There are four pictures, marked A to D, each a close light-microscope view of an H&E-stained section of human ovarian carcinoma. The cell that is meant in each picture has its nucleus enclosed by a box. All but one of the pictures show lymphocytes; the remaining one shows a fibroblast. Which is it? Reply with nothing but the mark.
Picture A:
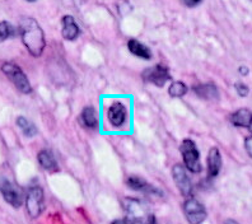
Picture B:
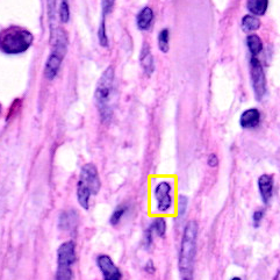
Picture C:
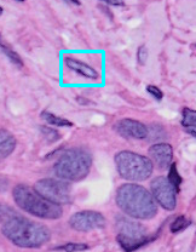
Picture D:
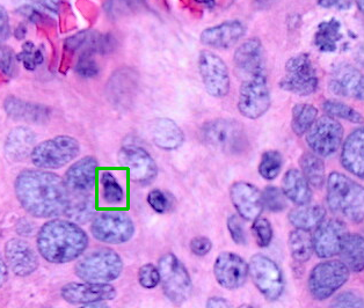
C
